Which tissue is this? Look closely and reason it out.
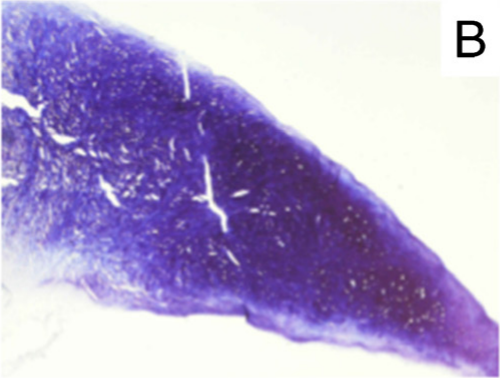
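A wedge-shaped tissue section tapering to a thin edge.
Conclusion: menisci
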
